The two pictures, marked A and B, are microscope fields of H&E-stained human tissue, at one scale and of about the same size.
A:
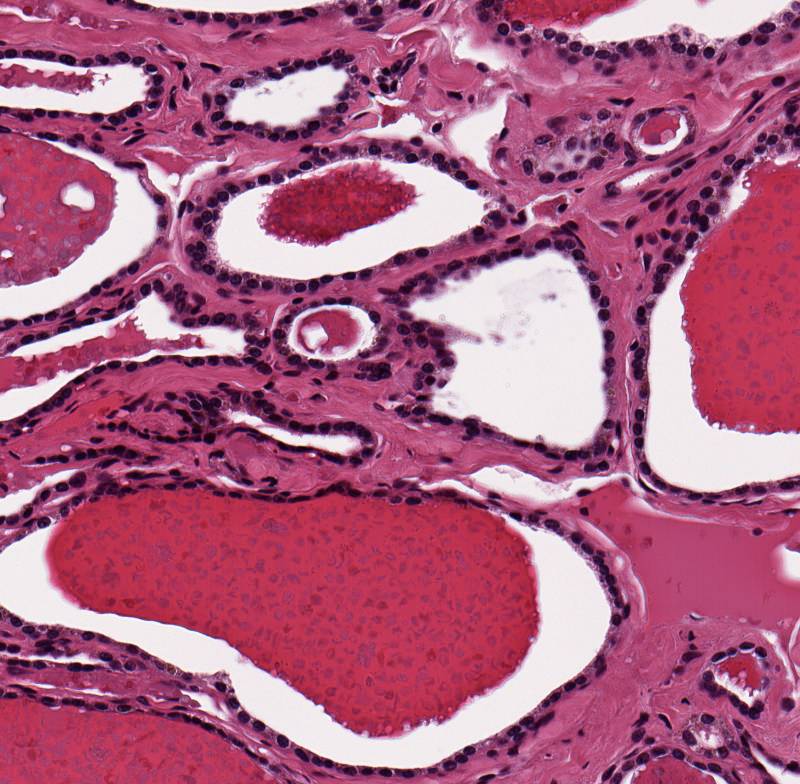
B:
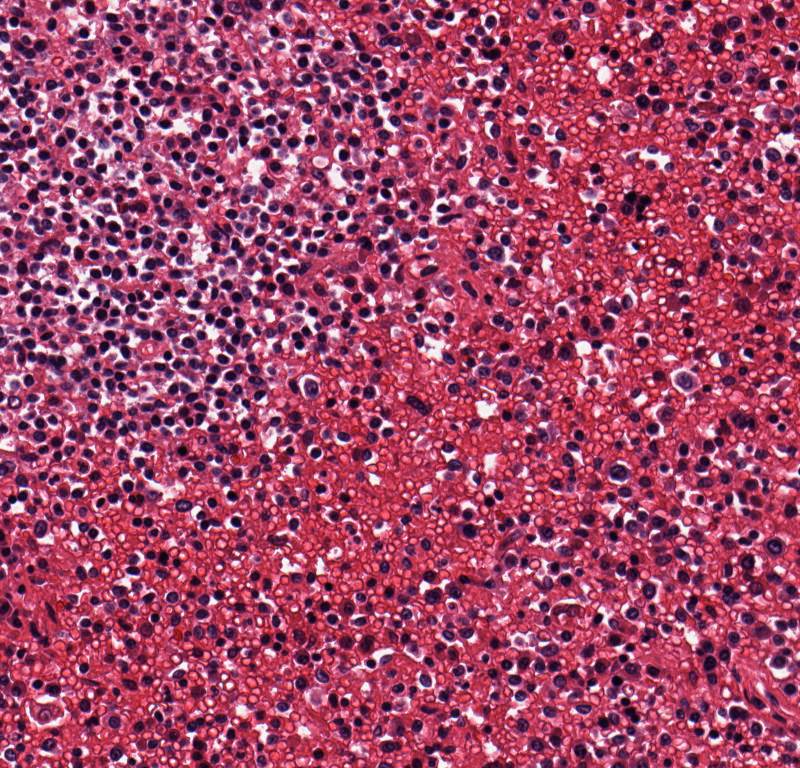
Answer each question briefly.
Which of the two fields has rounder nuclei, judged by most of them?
B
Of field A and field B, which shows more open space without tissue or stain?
A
